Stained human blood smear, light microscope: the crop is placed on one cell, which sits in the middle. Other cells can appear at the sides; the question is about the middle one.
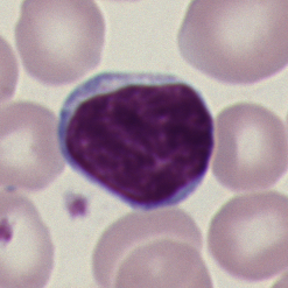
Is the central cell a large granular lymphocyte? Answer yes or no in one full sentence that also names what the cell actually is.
No, in this crop the central cell is a typical lymphocyte instead of a large granular lymphocyte.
